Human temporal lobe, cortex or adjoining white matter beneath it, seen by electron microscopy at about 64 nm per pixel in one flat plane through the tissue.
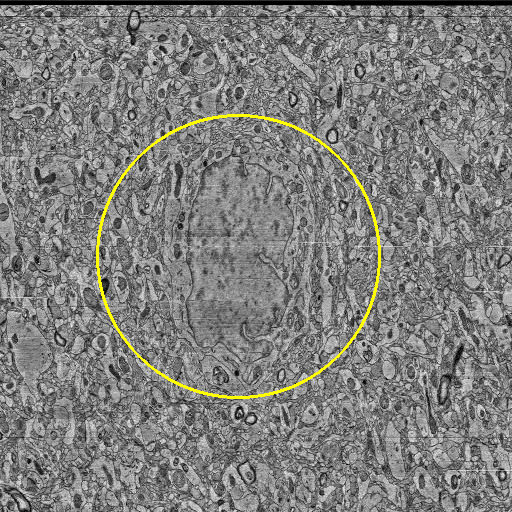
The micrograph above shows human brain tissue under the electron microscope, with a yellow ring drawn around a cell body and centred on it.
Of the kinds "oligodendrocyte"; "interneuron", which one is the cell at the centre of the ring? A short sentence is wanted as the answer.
The one at the centre of the ring is an interneuron.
